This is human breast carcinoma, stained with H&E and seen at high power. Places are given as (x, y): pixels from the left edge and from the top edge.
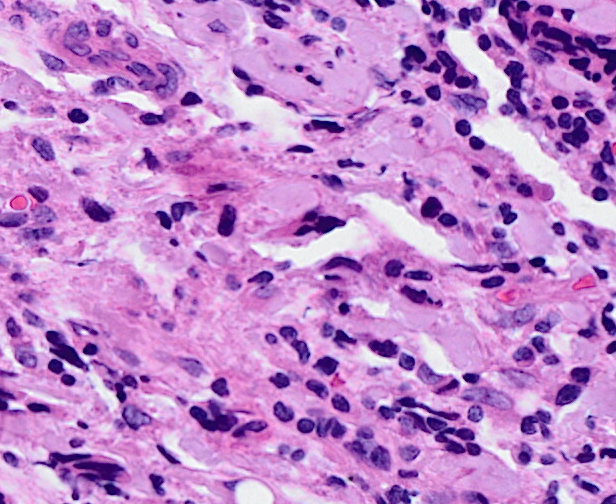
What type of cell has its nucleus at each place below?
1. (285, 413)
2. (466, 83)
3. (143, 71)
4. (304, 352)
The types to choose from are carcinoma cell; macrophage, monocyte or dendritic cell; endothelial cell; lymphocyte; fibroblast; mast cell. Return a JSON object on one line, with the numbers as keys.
{"1": "lymphocyte", "2": "lymphocyte", "3": "endothelial cell", "4": "lymphocyte"}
